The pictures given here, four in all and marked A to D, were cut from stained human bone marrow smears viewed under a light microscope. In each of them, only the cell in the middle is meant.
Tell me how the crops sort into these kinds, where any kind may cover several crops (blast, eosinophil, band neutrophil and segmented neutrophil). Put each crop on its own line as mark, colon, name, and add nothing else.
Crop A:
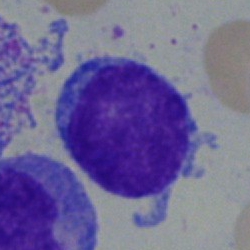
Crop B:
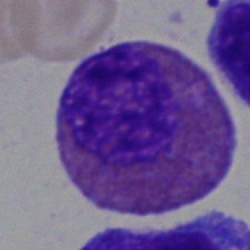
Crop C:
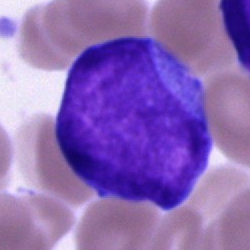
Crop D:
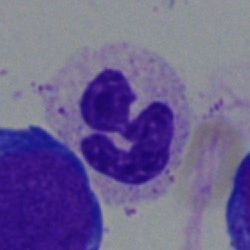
A: blast
B: eosinophil
C: blast
D: segmented neutrophil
